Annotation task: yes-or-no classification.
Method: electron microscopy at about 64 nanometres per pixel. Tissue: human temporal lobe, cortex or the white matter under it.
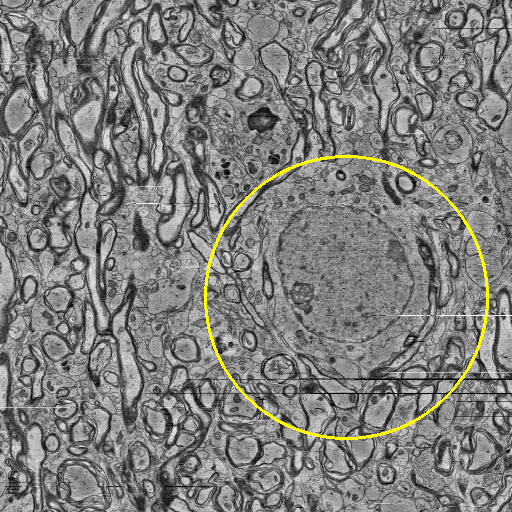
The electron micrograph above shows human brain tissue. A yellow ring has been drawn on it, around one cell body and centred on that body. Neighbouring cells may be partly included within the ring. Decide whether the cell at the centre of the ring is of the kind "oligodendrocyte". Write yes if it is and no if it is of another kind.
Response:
no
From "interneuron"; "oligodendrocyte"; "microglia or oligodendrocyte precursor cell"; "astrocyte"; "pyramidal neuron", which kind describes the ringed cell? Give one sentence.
The cell in the ring is an astrocyte instead.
